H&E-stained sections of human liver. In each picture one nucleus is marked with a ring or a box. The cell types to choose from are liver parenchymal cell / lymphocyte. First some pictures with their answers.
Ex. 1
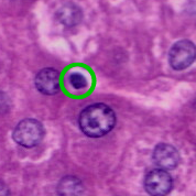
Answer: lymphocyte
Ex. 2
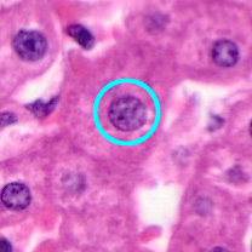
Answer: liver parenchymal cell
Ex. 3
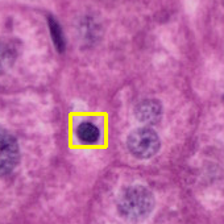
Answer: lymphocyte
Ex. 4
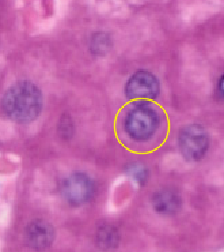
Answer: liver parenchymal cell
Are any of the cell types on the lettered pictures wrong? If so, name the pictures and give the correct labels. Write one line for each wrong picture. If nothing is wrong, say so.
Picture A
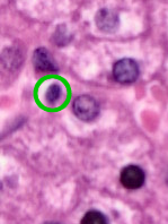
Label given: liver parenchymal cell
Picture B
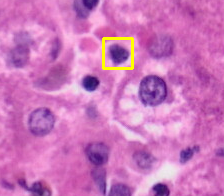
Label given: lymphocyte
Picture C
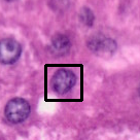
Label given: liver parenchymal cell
A: not liver parenchymal cell but lymphocyte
